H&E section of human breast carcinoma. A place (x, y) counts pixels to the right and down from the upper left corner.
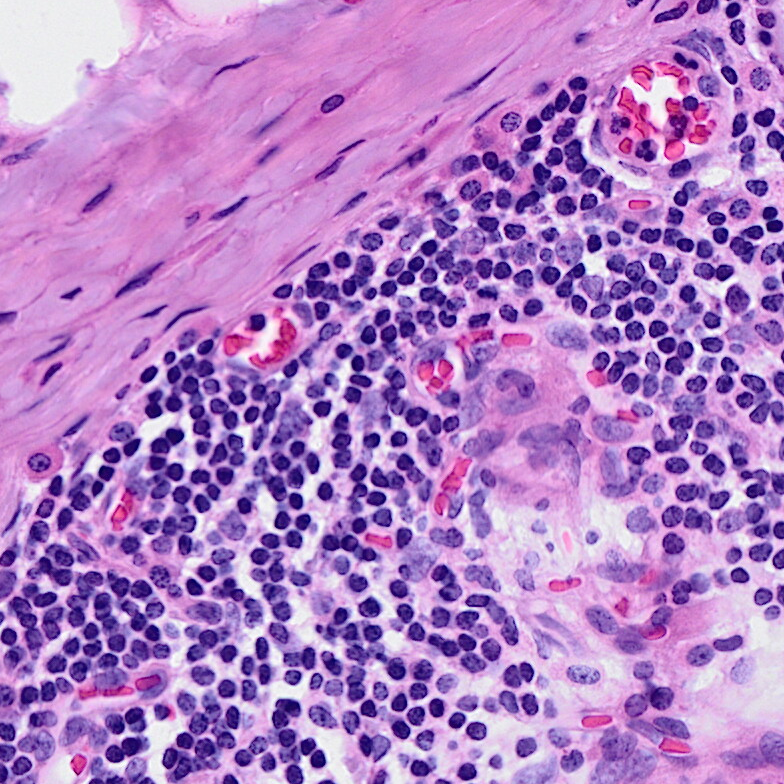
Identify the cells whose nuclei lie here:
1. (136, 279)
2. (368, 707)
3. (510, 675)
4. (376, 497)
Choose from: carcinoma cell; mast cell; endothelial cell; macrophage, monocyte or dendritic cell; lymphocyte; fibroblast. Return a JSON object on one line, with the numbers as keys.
{"1": "fibroblast", "2": "lymphocyte", "3": "lymphocyte", "4": "lymphocyte"}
